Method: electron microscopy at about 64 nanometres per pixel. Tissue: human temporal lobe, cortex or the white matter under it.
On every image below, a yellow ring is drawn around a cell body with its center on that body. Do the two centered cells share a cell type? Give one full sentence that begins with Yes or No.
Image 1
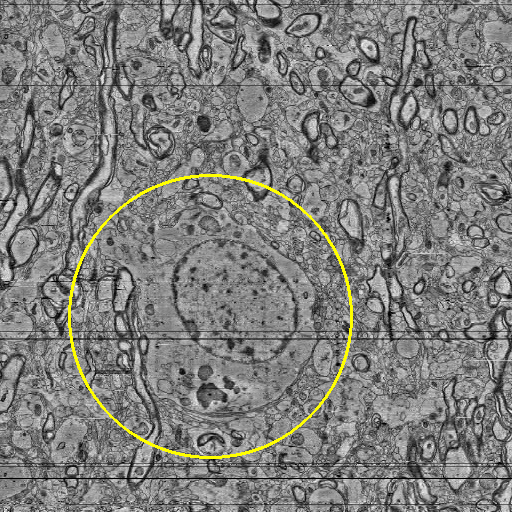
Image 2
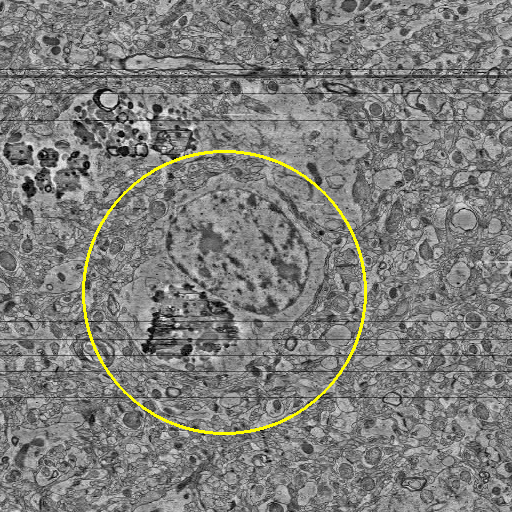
Yes, the centered cells in the two images are of a single cell type.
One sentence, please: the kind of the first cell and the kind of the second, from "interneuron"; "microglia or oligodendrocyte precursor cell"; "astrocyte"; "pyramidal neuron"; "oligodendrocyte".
The cell at the ring centre is an astrocyte in both pictures.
